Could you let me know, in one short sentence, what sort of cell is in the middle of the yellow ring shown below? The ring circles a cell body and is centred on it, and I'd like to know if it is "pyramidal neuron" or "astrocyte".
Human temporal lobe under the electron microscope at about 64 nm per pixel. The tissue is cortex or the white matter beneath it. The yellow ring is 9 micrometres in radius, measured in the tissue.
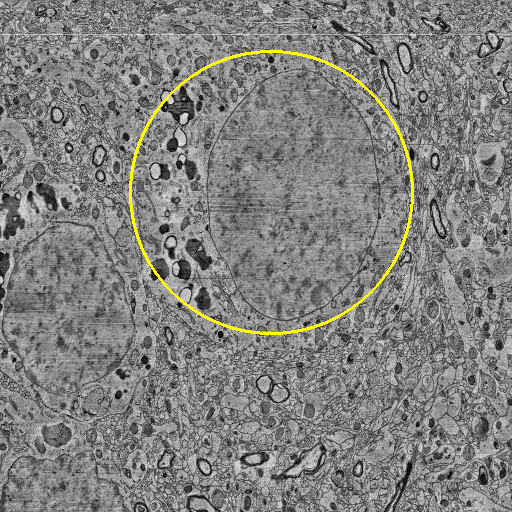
The ring circles the cell body of a pyramidal neuron.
